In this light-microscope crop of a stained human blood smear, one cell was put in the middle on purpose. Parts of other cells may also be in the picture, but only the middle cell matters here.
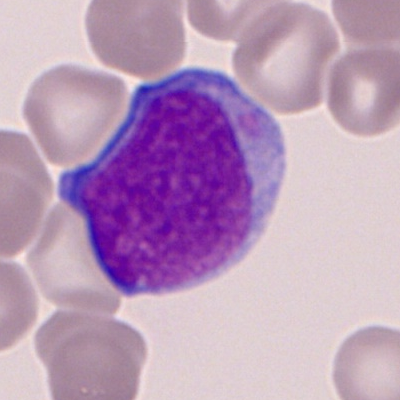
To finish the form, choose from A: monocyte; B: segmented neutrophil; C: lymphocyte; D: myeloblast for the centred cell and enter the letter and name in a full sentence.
Seen at the centre of the crop is a myeloblast, so option D is correct.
